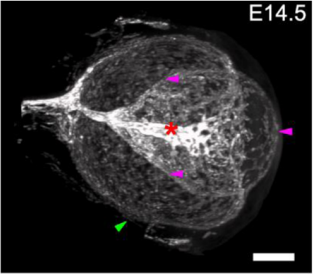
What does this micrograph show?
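A bright trunk enters at the back of the globe and fans out into a branching network that spreads forward over the lens region. Around the globe, a finer, densely meshed vascular layer lines the outer wall, forming the choroid. The vessels appear as white tubes against a dark background, with the densest meshwork near the centre where the branches converge.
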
